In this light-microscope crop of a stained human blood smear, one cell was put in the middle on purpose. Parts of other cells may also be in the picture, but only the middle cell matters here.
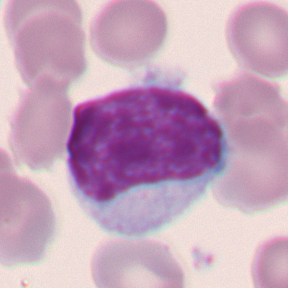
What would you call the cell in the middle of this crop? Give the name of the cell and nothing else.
typical lymphocyte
